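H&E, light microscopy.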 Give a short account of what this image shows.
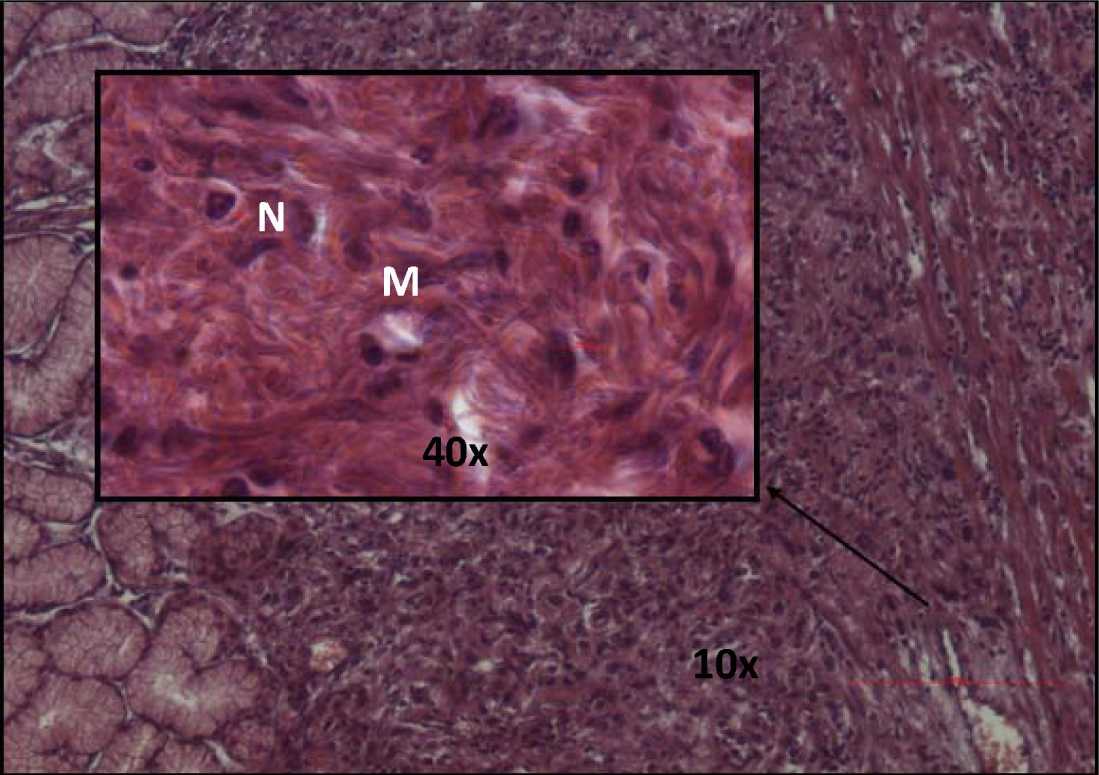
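In the enlarged field, the tumour cells have dark nuclei that vary in size and shape. They lie among pink, fibrillar cytoplasm and stroma, and they form no glands or orderly layers.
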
